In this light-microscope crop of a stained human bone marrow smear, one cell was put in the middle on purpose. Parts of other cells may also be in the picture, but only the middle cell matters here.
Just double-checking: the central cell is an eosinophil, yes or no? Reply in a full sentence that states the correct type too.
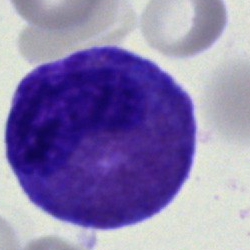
Yes, an eosinophil is what the central cell is.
